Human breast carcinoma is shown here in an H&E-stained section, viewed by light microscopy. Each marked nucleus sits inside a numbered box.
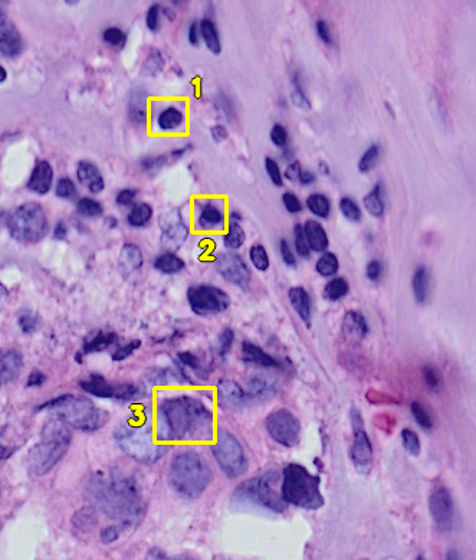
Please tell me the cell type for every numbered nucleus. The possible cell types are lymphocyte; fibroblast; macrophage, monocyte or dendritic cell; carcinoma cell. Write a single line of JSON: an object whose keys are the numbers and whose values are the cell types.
{"1": "lymphocyte", "2": "lymphocyte", "3": "carcinoma cell"}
